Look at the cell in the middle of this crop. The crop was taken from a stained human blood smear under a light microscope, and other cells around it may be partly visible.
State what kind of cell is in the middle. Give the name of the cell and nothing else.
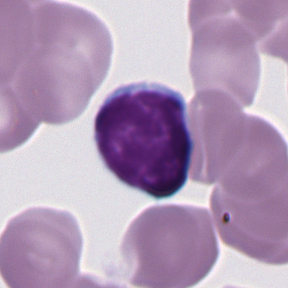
lymphocyte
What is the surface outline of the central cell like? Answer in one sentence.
No projections interrupt the outline; it is smooth all the way round.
